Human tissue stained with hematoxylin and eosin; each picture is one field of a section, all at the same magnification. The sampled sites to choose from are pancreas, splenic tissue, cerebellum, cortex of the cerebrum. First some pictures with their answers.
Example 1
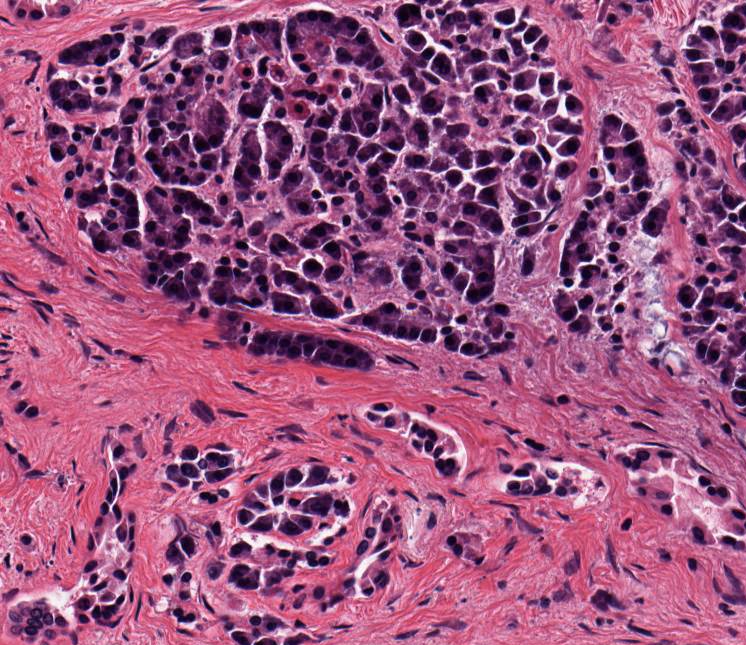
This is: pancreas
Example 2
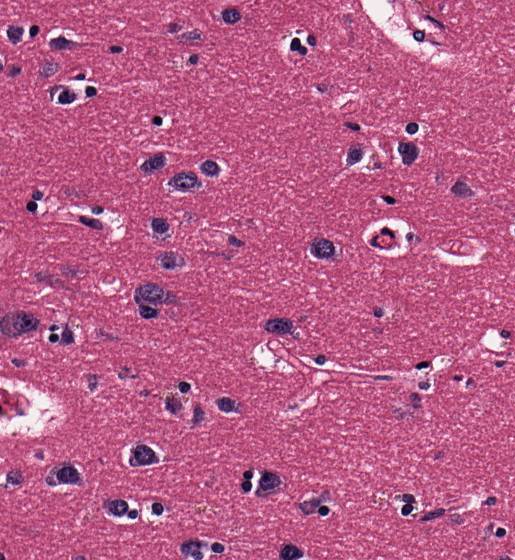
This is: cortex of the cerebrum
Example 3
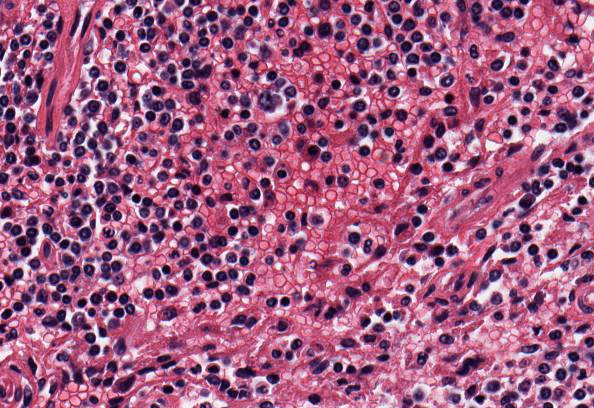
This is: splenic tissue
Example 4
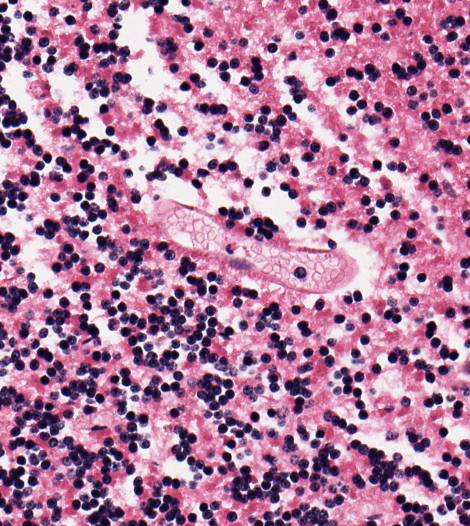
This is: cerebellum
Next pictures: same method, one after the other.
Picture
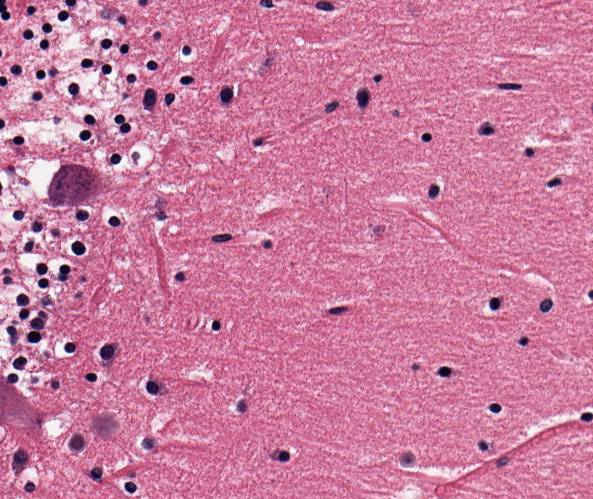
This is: cerebellum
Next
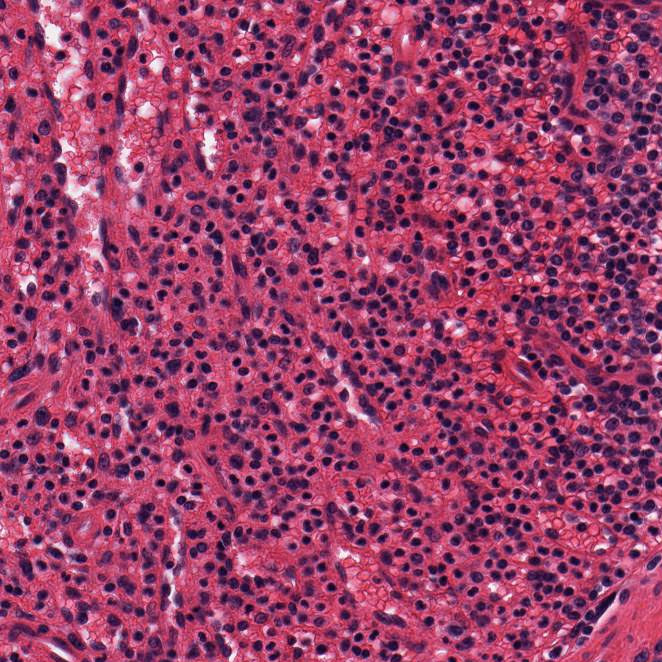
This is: splenic tissue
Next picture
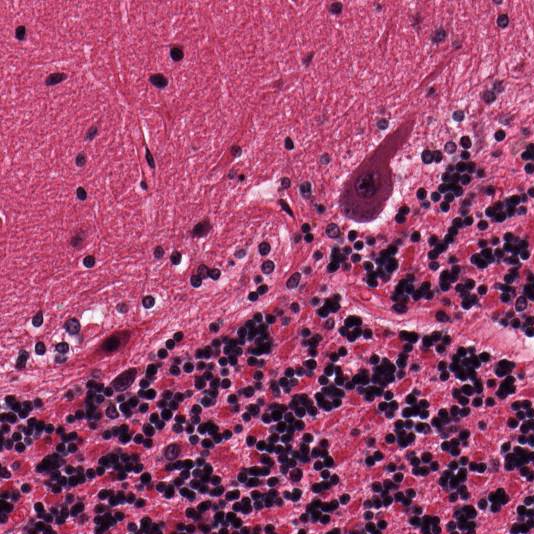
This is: cerebellum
